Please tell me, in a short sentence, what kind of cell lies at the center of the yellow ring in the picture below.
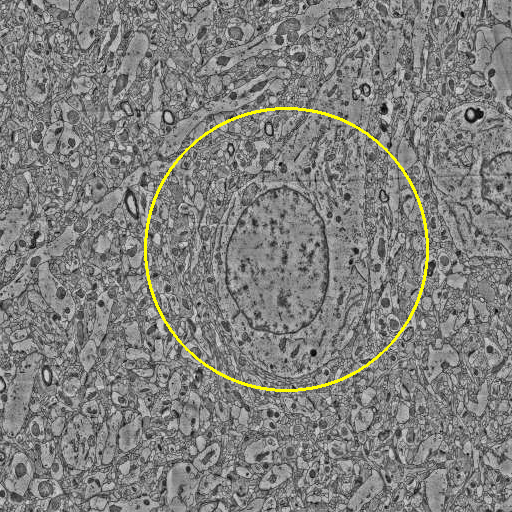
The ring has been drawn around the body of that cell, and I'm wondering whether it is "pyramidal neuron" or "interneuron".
The cell at the center of the ring is a pyramidal neuron.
